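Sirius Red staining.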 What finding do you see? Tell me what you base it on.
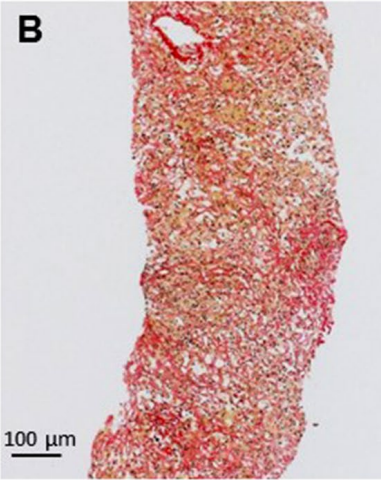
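Red-stained fibres are crowded closely together across much of the core. No orderly plates of liver cells lie between the fibres.
Answer: Collapse and condensation of the preexisting reticulin framework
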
